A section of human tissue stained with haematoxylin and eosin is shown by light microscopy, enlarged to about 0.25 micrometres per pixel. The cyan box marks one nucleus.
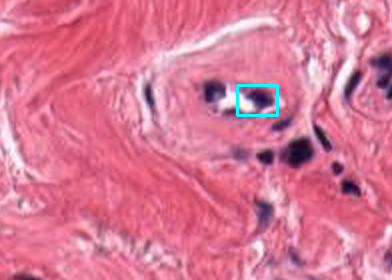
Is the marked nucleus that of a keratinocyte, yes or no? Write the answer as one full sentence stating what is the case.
No, a supporting cell is the one to which the marked nucleus belongs, not a keratinocyte.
